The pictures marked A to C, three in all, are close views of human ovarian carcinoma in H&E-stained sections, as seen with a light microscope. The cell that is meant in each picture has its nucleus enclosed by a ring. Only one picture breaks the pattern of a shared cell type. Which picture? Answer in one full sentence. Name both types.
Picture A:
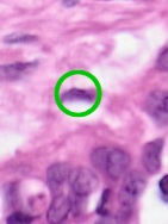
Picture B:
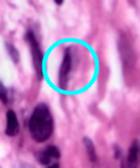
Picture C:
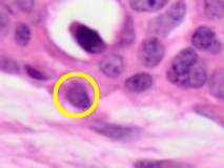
All pictures except C show fibroblasts; picture C shows a “macrophage or monocyte”.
